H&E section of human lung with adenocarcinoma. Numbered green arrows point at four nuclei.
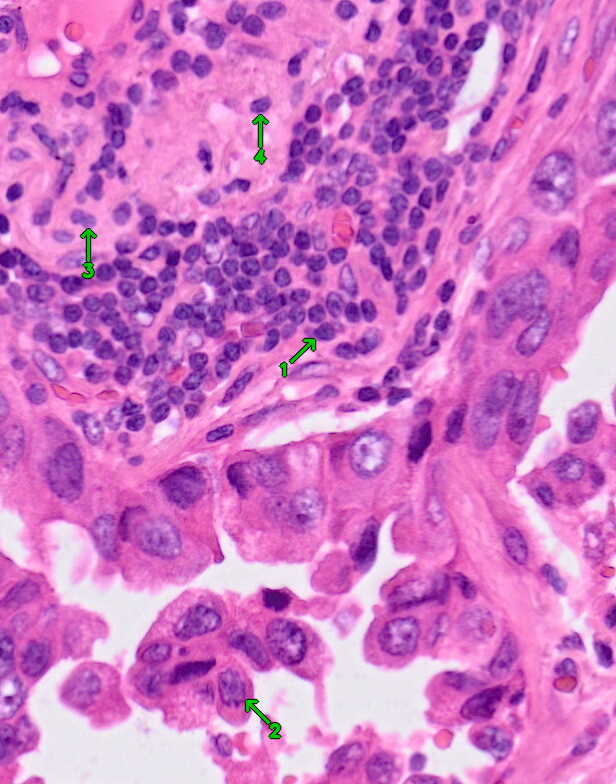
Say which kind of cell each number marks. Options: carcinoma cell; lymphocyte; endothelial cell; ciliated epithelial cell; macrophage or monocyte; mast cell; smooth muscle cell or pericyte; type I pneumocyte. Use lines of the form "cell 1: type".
cell 1: lymphocyte
cell 2: carcinoma cell
cell 3: lymphocyte
cell 4: lymphocyte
